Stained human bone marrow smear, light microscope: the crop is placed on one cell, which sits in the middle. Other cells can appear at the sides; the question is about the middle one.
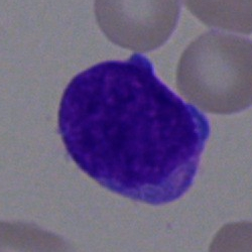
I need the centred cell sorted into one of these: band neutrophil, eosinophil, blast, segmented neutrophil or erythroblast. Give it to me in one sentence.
Seen at the centre of the crop is a blast.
